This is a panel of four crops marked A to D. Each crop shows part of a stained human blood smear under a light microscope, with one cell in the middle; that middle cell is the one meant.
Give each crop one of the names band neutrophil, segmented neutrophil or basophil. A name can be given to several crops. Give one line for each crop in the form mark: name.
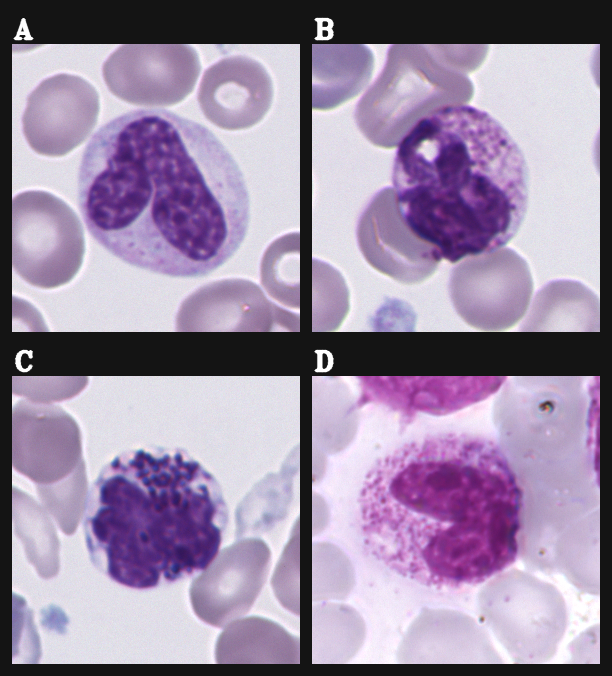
A: band neutrophil
B: basophil
C: basophil
D: band neutrophil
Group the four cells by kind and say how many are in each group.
band neutrophil: 2
basophil: 2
